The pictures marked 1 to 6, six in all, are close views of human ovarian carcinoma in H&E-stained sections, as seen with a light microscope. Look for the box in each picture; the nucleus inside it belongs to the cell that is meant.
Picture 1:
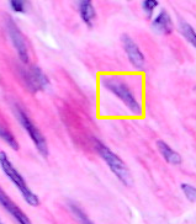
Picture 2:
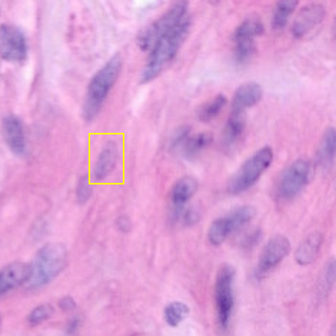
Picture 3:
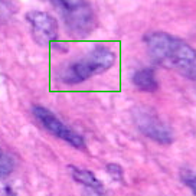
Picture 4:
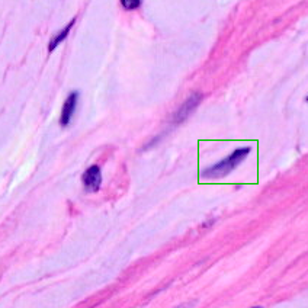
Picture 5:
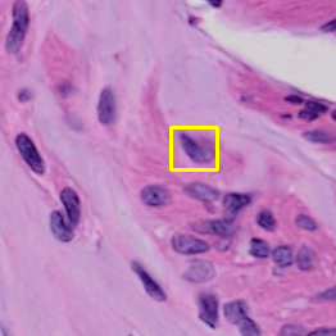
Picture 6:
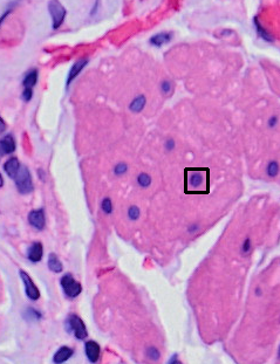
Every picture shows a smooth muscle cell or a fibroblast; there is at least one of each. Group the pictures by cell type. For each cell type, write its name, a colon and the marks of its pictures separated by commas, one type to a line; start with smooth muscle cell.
smooth muscle cell: 1, 2, 5, 6
fibroblast: 3, 4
